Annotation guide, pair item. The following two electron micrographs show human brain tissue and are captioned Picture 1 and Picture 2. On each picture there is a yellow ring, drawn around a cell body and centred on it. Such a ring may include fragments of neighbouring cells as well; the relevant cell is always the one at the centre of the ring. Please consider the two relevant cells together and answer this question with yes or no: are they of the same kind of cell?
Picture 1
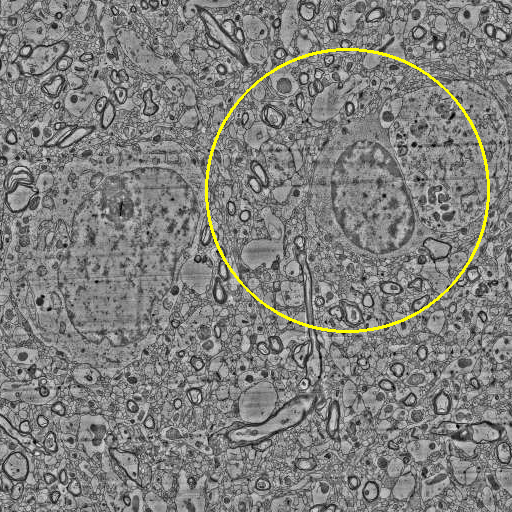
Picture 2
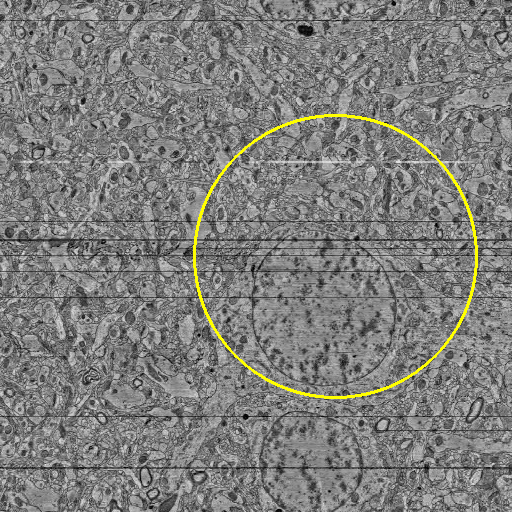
no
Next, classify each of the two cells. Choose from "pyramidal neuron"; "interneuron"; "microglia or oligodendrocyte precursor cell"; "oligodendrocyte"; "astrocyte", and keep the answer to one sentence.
In the first picture it is an oligodendrocyte; in the second it is a pyramidal neuron.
